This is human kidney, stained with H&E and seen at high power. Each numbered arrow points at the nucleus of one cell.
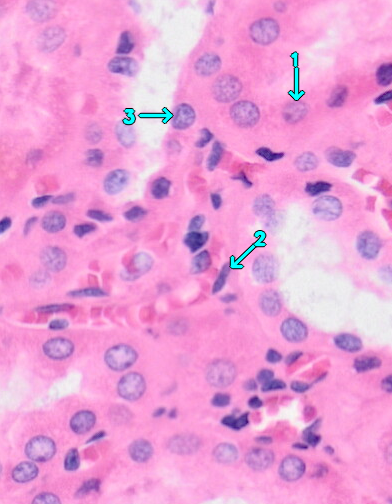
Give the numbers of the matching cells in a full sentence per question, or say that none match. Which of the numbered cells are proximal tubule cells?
Cell 1 is a proximal tubule cell, and it is the only numbered cell that is.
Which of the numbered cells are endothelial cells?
Cell 2, and no other numbered cell, is an endothelial cell.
